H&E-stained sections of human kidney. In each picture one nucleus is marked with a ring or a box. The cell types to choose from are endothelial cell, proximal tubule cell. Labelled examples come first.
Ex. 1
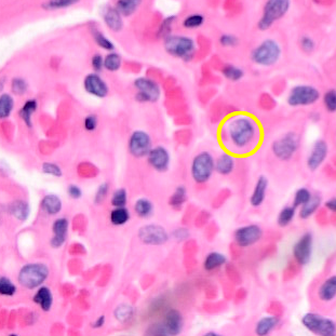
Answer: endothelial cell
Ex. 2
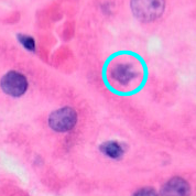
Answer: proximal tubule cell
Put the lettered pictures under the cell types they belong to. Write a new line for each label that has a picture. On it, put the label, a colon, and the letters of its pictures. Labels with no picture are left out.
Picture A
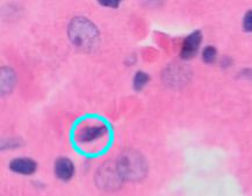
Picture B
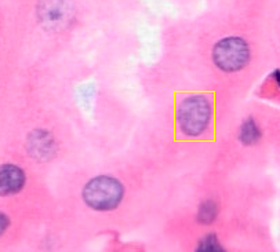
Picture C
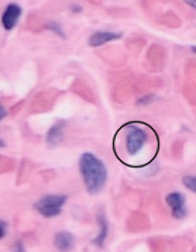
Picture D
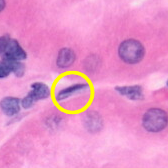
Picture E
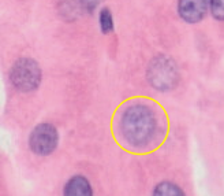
endothelial cell: A, C, D
proximal tubule cell: B, E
